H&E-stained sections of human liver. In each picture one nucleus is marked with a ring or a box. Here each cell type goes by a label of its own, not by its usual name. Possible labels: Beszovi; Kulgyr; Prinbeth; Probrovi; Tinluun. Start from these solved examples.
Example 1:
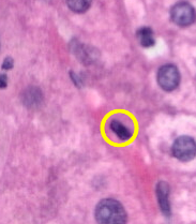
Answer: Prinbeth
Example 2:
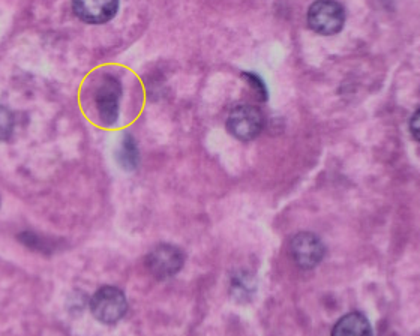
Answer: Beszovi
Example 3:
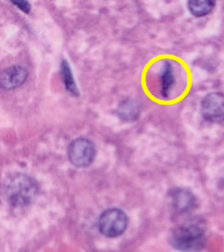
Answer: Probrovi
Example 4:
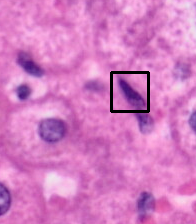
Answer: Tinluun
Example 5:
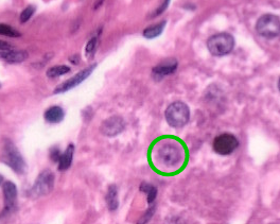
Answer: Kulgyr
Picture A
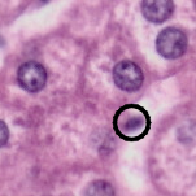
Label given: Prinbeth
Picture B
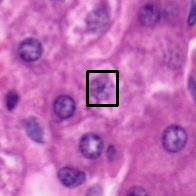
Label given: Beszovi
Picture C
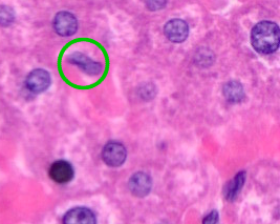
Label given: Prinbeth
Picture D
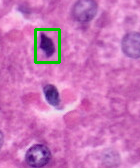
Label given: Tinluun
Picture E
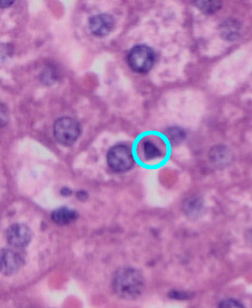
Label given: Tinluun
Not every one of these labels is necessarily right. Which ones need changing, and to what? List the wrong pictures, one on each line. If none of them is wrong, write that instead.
B: not Beszovi but Kulgyr
C: not Prinbeth but Beszovi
